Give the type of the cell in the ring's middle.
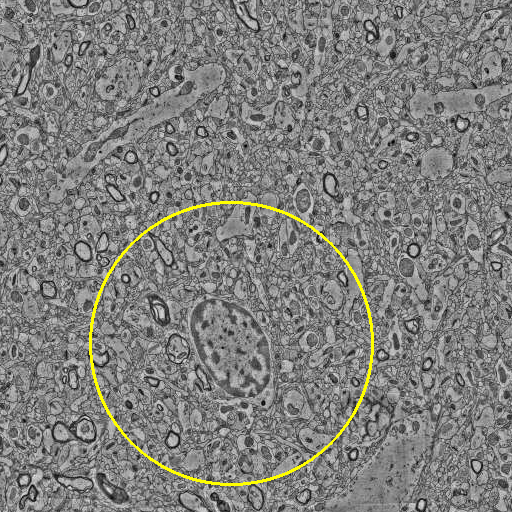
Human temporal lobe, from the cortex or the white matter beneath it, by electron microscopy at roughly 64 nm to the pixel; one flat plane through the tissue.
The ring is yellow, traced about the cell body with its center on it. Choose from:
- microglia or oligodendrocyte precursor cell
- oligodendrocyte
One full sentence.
Here, a microglial cell or oligodendrocyte precursor cell is the cell lying at the center of the yellow ring.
